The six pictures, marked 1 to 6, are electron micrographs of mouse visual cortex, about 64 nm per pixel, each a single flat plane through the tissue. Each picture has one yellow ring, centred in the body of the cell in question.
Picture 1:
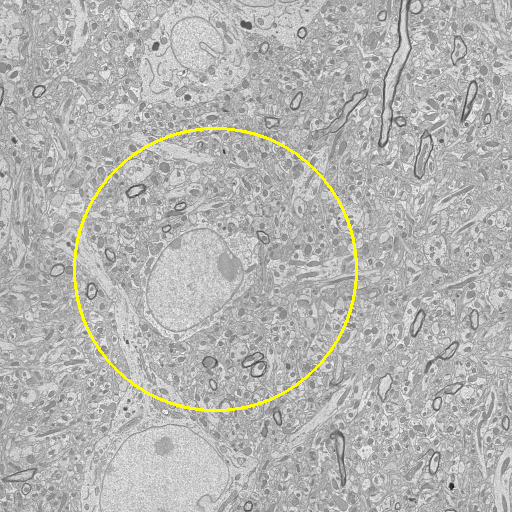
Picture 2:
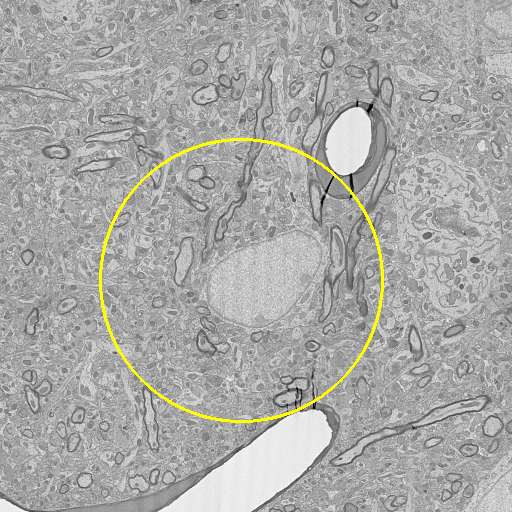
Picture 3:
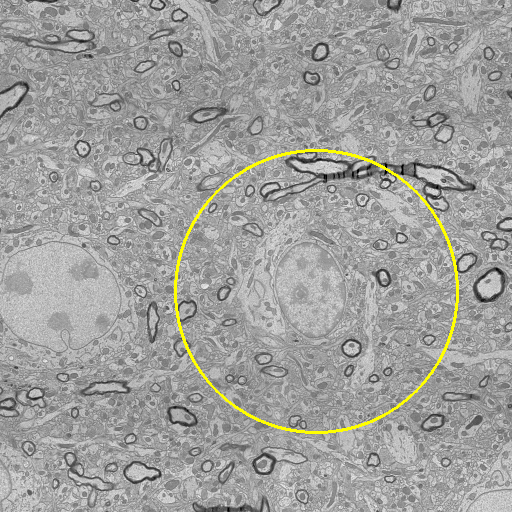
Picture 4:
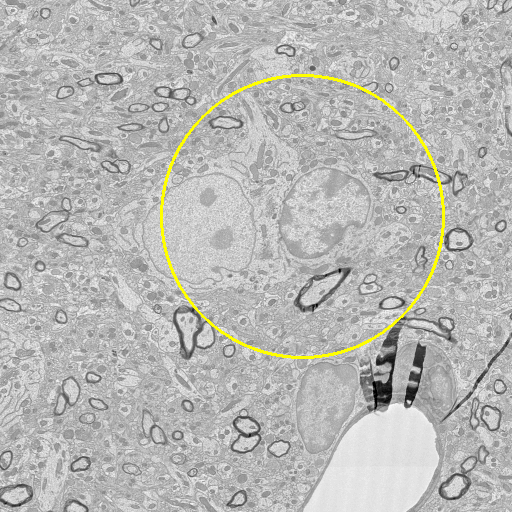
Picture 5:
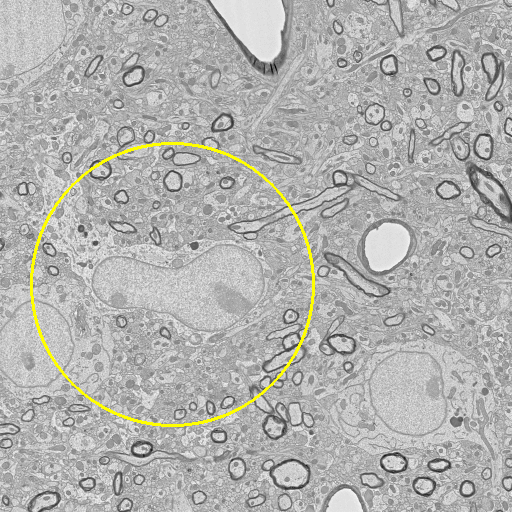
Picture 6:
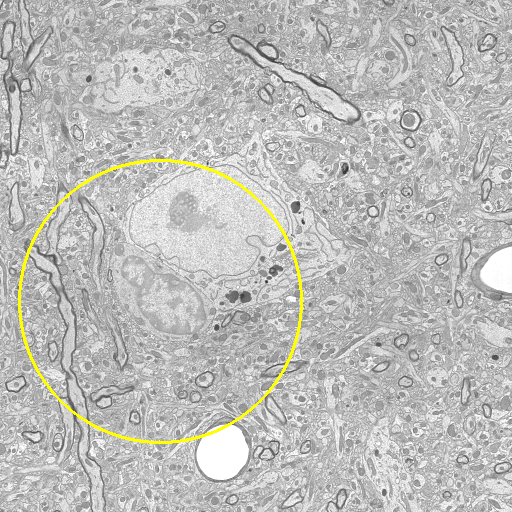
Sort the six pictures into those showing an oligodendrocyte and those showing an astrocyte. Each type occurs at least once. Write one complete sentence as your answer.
Pictures 3, 4 and 6 show oligodendrocytes; pictures 1, 2 and 5 show astrocytes.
